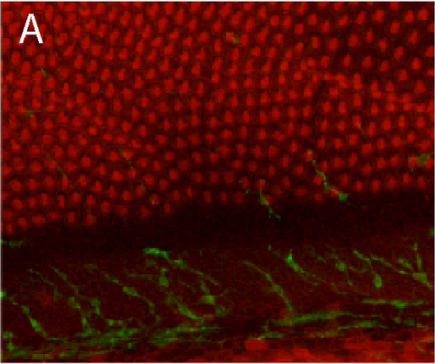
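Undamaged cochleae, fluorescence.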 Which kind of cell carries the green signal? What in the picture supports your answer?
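Green cells are elongated and branched with slender processes. Green cells lie scattered singly in the lower band, not in a packed sheet.
Conclusion: macrophages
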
